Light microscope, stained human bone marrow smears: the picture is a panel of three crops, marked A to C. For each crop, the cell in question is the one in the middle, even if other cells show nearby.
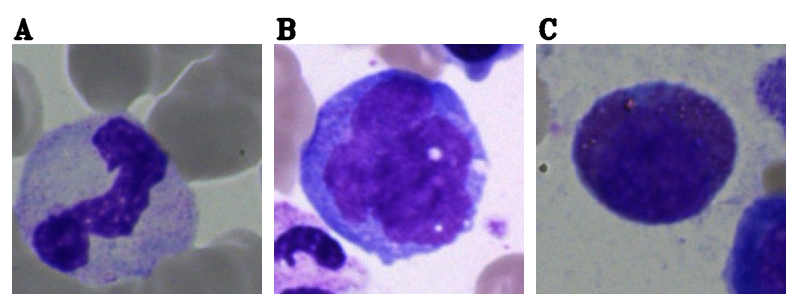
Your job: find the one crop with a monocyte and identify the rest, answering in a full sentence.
Crop B is best given as a monocyte, while crop A is a band neutrophil and crop C is an eosinophil.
